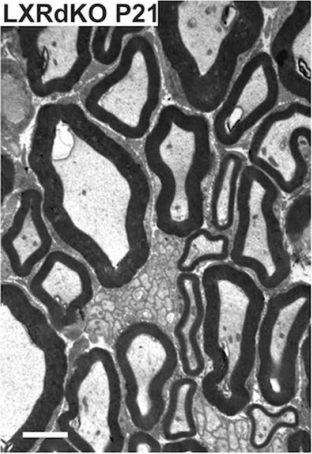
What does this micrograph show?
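This is a cross-section of a peripheral nerve filled with myelinated axons cut transversely. The axons are pale profiles of varied size, many of them large and irregular in outline, each ringed by a thick, dark, compact myelin sheath. The fibres are closely packed, with narrow lighter spaces between them and some smaller myelinated fibres in the gaps.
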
